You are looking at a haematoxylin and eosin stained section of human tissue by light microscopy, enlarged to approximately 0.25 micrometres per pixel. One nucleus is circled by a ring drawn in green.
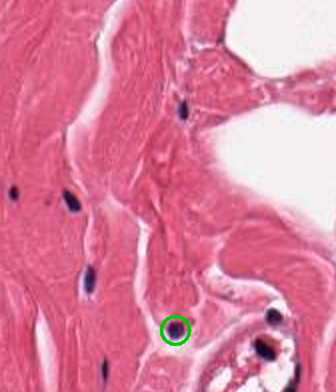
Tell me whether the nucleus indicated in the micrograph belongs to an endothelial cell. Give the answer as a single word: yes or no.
no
